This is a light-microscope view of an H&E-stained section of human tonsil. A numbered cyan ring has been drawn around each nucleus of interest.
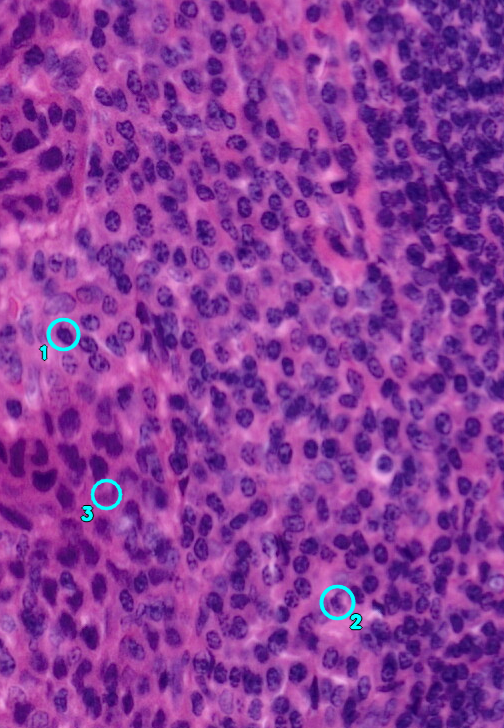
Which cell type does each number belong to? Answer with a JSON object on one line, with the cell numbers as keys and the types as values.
{"1": "plasma cell", "2": "endothelial cell", "3": "squamous epithelial cell"}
